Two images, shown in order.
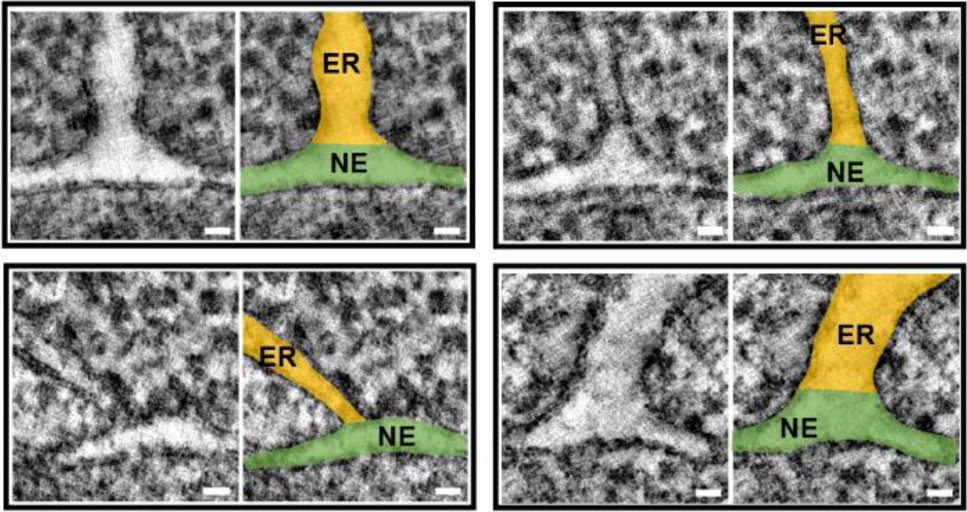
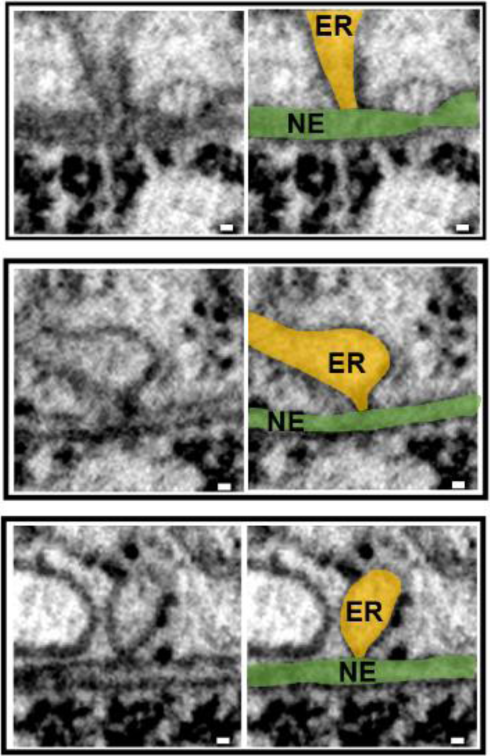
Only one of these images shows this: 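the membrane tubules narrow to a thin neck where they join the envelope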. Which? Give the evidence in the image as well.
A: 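The second image. Second image: the orange compartments taper to a very thin neck at the green layer.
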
